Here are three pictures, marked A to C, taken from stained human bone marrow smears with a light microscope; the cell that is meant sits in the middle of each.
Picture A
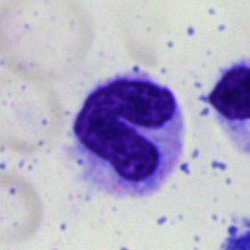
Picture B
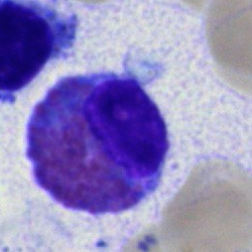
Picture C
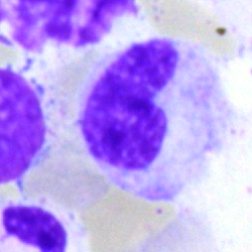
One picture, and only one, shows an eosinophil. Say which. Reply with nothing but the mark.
B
